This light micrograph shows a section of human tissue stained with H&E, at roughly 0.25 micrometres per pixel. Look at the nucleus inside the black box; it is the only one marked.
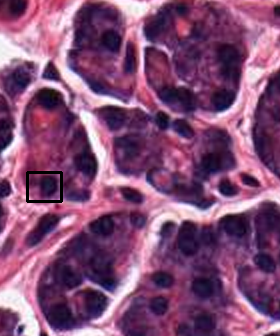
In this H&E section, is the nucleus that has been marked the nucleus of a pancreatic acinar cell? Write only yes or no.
yes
